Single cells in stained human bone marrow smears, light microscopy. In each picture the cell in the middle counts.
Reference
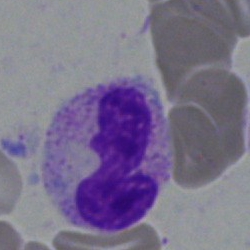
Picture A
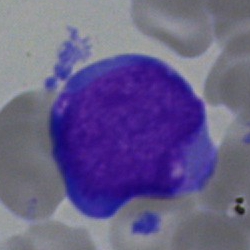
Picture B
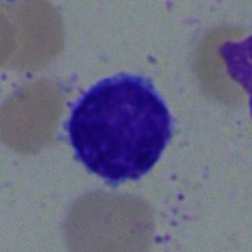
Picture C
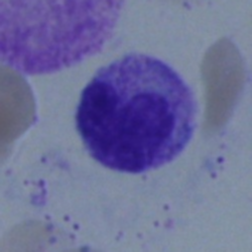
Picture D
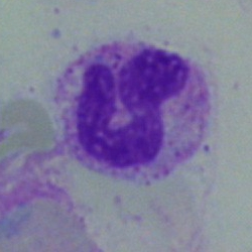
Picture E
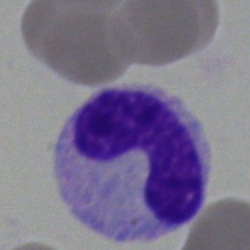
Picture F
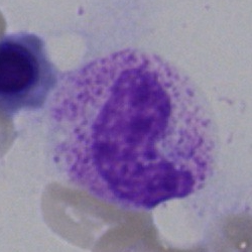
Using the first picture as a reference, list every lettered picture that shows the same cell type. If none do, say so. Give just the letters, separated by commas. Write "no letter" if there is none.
D, E, F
